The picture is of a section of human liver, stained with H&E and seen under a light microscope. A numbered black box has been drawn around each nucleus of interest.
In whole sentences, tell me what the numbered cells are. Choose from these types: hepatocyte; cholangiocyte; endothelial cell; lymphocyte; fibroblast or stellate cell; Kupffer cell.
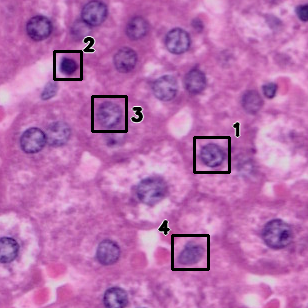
Cells 1 and 3 are hepatocytes. Cell 2 is a lymphocyte. Cell 4 is an endothelial cell.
